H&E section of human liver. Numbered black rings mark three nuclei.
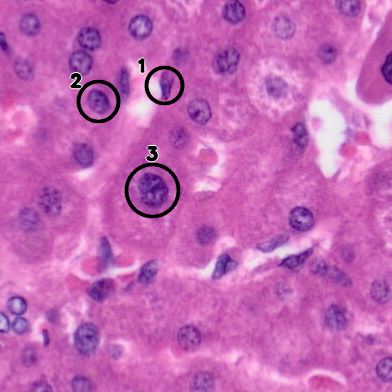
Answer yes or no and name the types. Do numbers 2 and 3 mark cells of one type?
Yes, with respect to identity, cells 2 and 3 are both hepatocytes.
